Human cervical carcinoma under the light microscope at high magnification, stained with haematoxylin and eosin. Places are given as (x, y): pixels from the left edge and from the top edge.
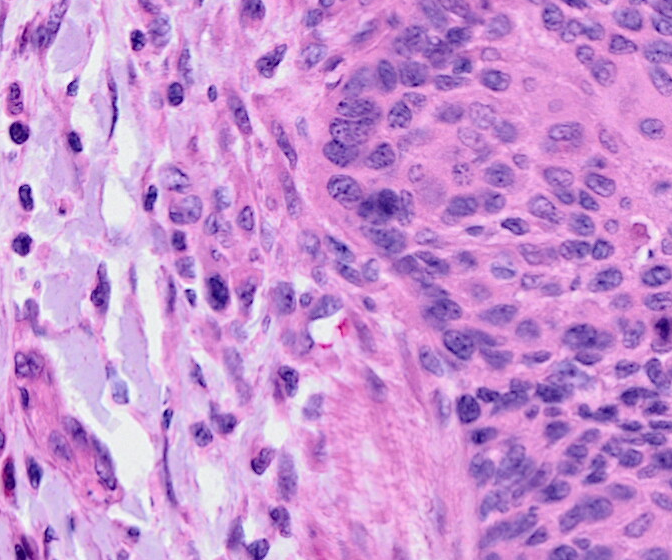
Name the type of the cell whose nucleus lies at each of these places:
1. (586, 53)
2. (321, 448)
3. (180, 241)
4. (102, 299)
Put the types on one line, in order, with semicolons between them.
squamous carcinoma cell; fibroblast; lymphocyte; macrophage or monocyte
